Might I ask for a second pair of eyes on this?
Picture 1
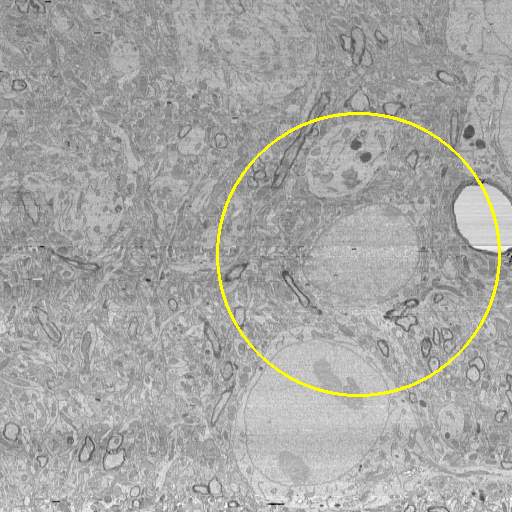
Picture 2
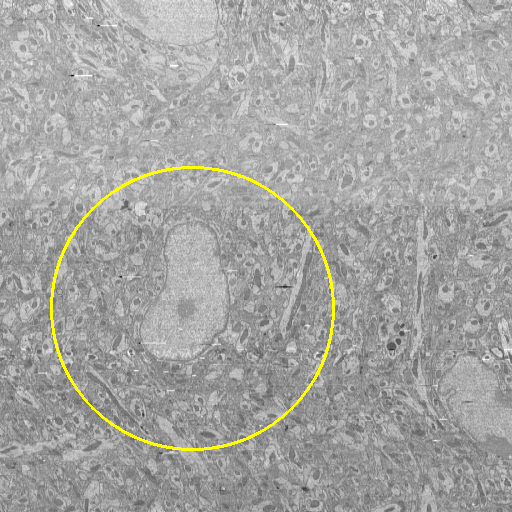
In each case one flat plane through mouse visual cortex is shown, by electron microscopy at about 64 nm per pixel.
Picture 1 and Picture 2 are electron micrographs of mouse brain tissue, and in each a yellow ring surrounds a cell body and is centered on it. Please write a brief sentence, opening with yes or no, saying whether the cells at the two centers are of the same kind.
Yes, the cells are of the same kind.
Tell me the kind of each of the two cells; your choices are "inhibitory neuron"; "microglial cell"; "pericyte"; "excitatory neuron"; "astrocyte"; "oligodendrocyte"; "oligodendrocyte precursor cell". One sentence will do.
The second cell is an astrocyte, just as the first is.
